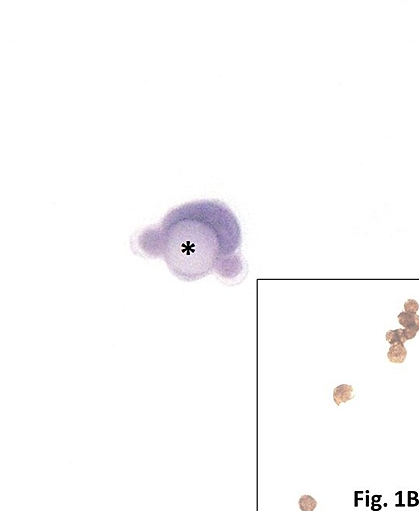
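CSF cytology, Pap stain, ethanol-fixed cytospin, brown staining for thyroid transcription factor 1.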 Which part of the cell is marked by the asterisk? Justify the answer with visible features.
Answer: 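The asterisk sits on a large round pale space inside a single cell. The pale space takes up most of the cell, with purple cytoplasm pushed to a rim around it. So: mucin vacuoles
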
